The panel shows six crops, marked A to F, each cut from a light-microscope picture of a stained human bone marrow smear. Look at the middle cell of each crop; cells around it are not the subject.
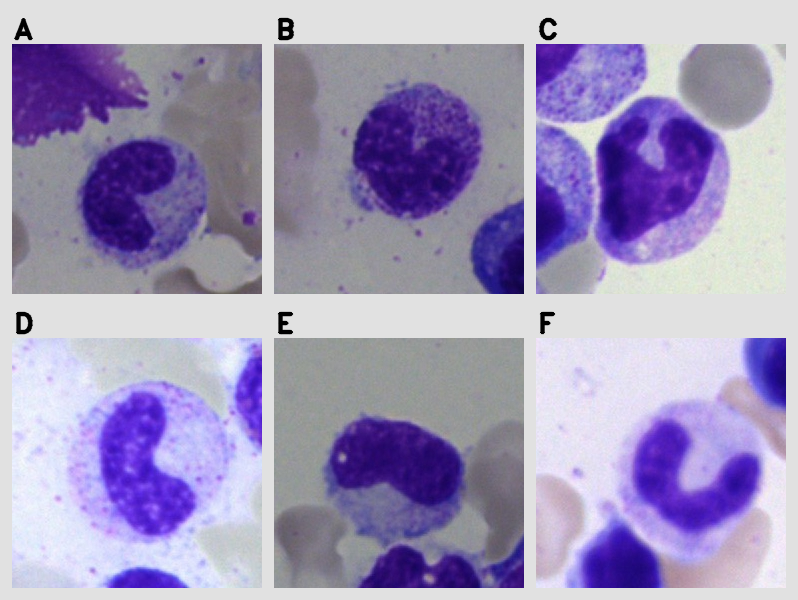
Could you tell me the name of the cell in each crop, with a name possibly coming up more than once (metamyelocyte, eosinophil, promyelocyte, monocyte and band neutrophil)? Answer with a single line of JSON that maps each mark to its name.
{"A": "band neutrophil", "B": "metamyelocyte", "C": "monocyte", "D": "band neutrophil", "E": "band neutrophil", "F": "band neutrophil"}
